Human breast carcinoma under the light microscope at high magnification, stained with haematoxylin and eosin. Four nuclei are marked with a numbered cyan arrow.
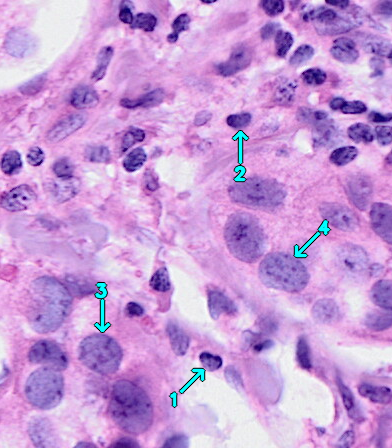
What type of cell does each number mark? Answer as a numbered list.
1. lymphocyte
2. lymphocyte
3. carcinoma cell
4. carcinoma cell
